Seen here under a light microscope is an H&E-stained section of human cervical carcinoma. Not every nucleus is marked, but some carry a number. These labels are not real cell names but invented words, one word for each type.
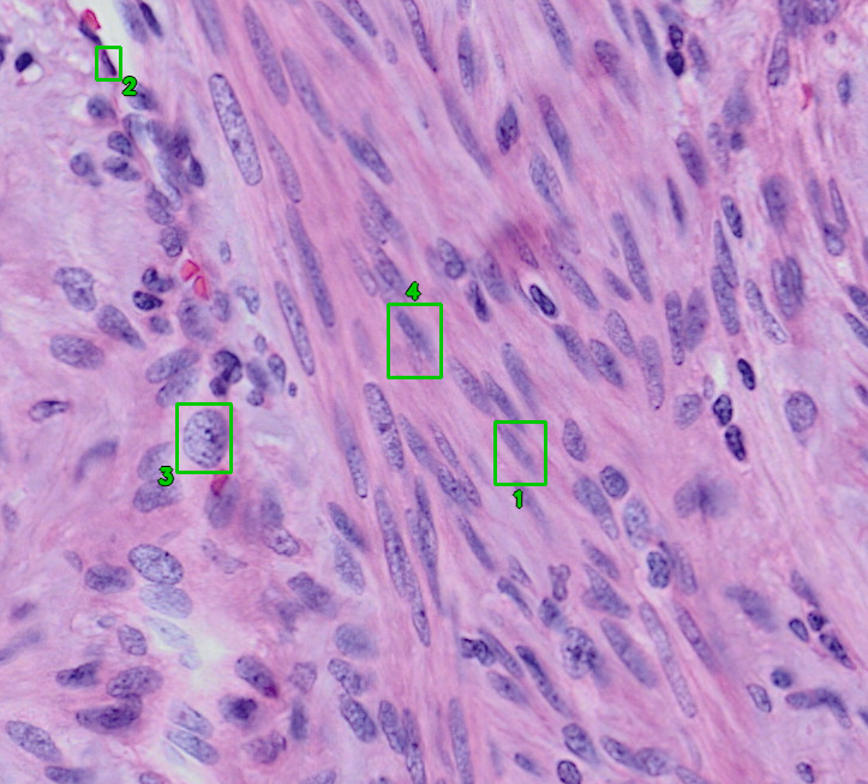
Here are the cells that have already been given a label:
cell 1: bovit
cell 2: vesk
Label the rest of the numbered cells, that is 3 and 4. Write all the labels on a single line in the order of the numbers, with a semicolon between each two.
vesk; bovit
